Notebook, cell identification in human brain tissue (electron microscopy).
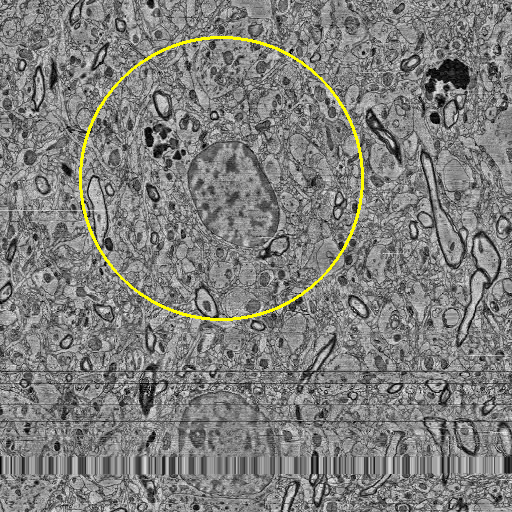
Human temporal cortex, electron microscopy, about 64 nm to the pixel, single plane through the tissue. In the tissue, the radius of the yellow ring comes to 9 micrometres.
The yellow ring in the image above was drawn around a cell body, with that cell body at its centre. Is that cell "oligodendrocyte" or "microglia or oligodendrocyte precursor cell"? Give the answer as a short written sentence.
The cell in the ring is a microglial cell or oligodendrocyte precursor cell.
